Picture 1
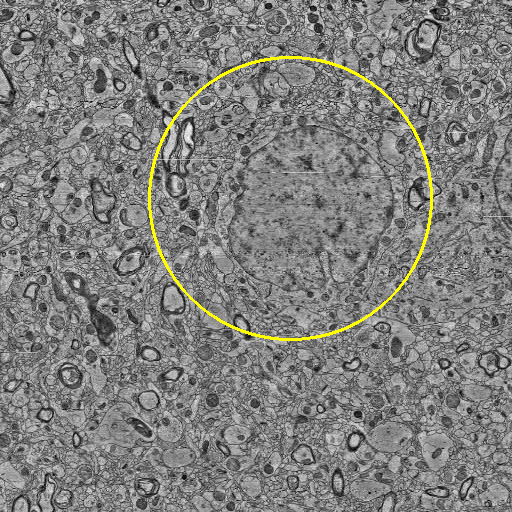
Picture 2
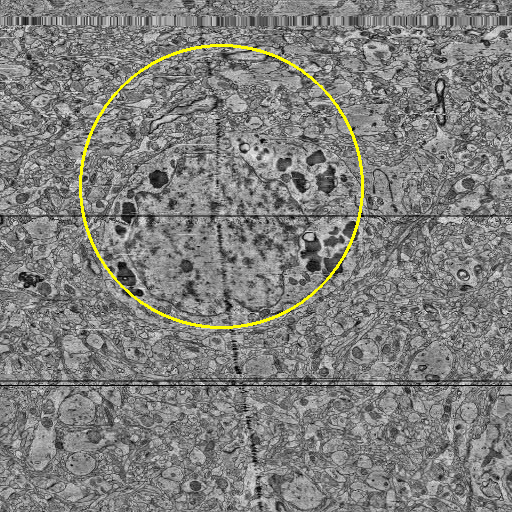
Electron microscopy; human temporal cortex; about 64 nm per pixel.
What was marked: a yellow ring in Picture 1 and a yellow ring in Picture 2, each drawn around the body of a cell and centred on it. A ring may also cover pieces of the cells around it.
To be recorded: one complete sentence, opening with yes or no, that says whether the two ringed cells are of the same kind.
Yes, the two ringed cells are of the same kind.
